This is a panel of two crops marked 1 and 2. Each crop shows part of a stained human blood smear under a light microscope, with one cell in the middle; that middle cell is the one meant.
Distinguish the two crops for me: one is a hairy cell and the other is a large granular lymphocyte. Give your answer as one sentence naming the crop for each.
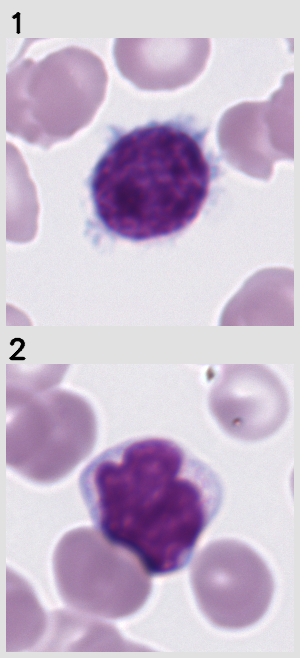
Crop 1 is a hairy cell, and, separately, crop 2 is a large granular lymphocyte.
